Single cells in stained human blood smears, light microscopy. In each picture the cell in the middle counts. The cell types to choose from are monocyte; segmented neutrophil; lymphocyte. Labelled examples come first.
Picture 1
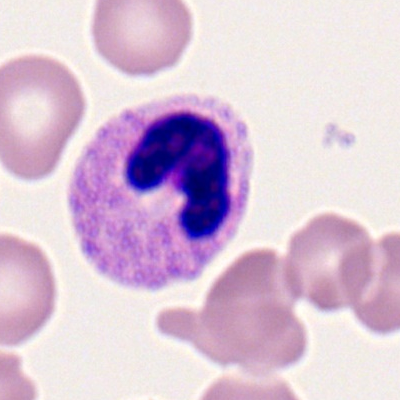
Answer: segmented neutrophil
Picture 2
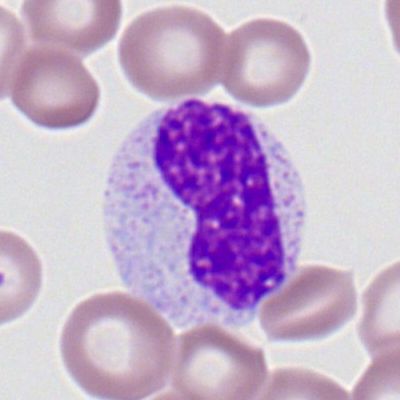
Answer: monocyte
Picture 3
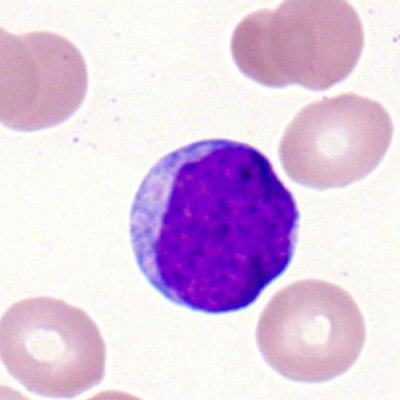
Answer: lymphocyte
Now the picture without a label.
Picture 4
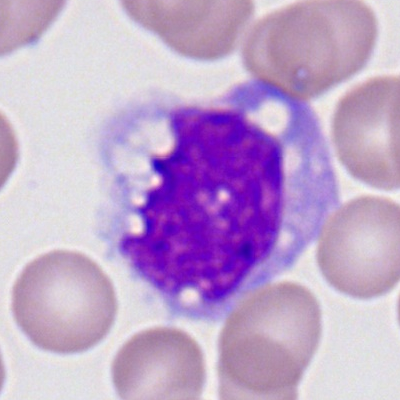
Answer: monocyte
